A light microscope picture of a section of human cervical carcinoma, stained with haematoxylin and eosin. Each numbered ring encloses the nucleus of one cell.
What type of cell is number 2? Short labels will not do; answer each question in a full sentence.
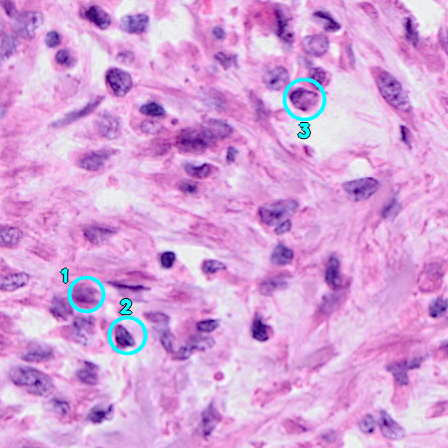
Here, the cell given the number 2 is a lymphocyte.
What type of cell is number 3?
In this section, the cell numbered 3 is a macrophage or monocyte.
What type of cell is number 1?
Corresponding to a fibroblast is the cell labelled 1.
